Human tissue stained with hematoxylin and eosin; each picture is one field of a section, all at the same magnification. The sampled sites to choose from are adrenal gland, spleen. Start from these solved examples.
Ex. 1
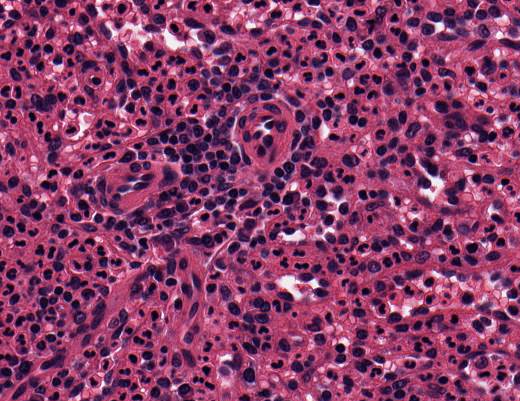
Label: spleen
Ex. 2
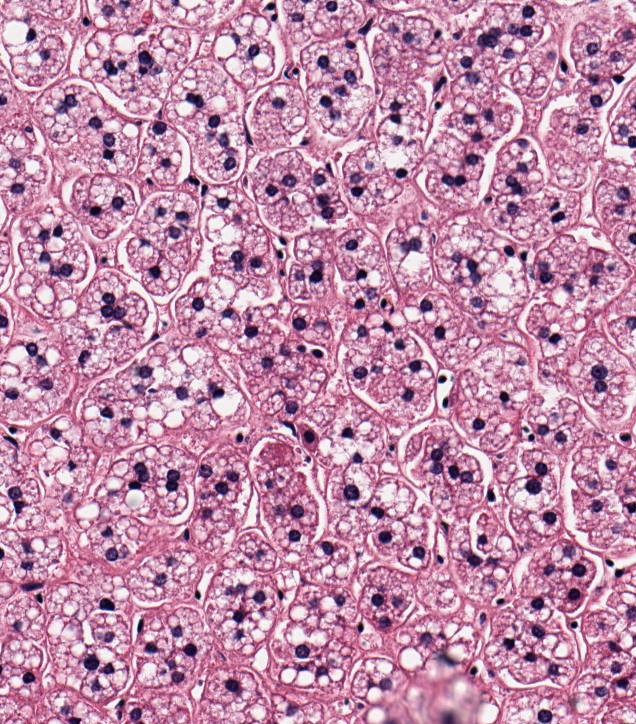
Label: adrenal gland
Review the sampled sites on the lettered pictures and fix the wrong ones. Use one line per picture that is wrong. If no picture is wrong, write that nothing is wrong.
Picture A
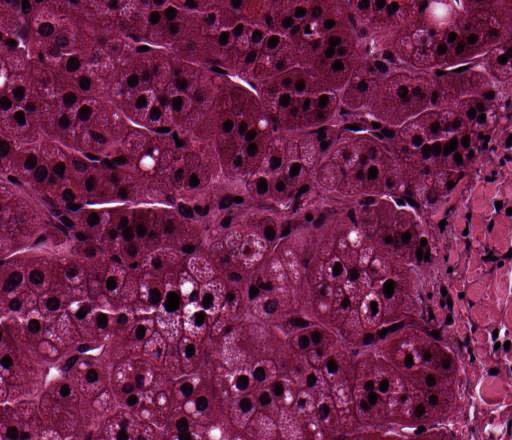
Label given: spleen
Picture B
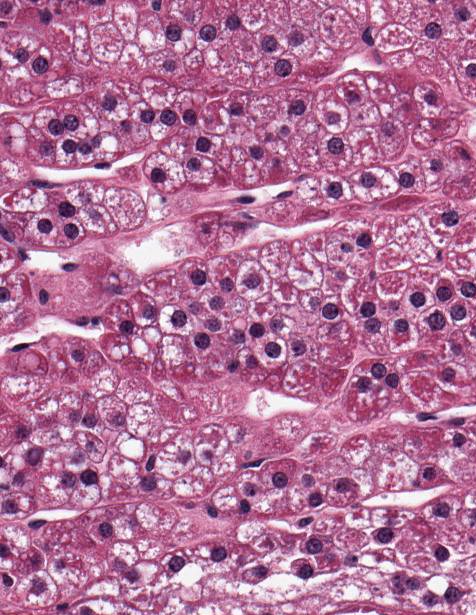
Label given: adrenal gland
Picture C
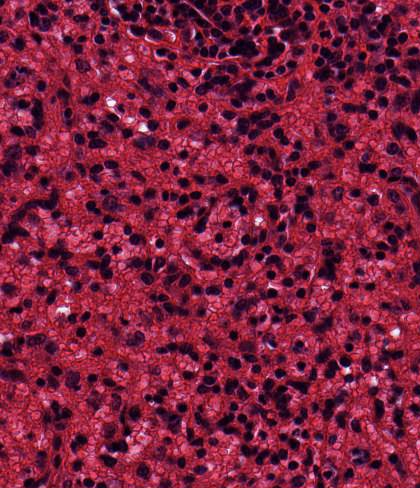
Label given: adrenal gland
A: not spleen but adrenal gland
C: not adrenal gland but spleen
